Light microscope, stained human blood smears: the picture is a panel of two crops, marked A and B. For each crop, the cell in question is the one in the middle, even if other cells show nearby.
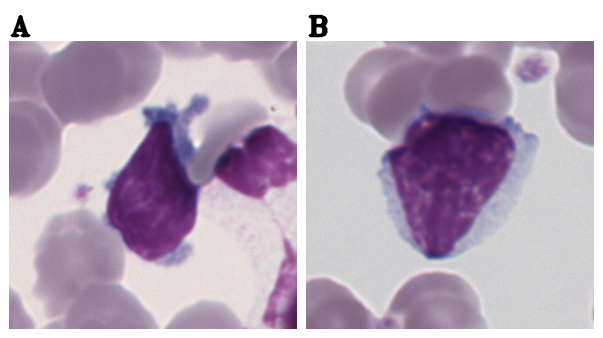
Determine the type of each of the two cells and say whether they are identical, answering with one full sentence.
Yes, typical lymphocytes are the cells shown in both crops.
